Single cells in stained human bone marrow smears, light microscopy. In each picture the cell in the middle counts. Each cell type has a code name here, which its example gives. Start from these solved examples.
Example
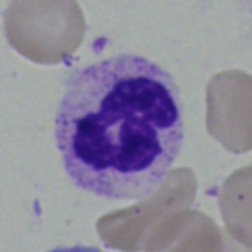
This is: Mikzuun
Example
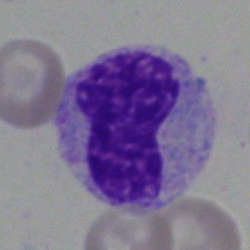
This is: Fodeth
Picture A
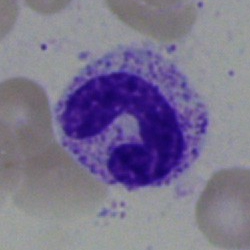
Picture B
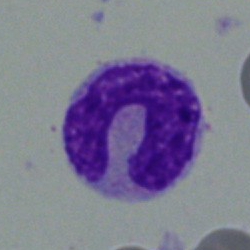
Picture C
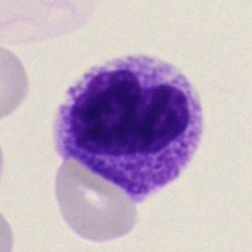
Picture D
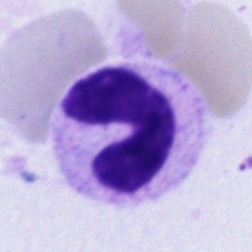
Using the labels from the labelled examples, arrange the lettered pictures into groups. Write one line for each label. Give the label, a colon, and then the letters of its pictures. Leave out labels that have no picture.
Fodeth: A, B, C, D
